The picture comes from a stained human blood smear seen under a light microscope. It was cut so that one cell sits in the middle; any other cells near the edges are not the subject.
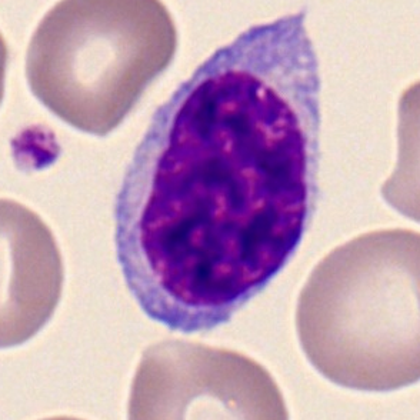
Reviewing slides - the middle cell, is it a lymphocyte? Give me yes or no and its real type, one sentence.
Yes, the cell at the centre of this crop is identified as a lymphocyte.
